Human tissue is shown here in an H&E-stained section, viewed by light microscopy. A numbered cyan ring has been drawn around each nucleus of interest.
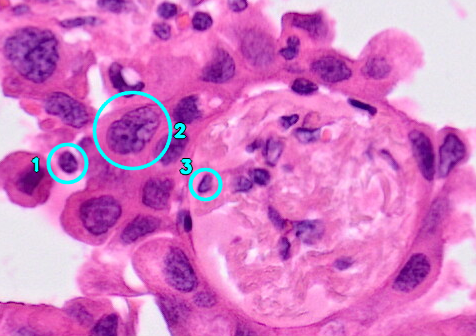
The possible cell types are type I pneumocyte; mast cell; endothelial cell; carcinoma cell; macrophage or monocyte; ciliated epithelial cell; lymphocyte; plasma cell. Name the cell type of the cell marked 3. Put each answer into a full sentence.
The one numbered 3 among the marked cells is a lymphocyte.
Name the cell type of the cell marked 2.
The numbered cell 2 in this field is a carcinoma cell.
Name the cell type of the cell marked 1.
Heads up, the cell numbered 1 is a lymphocyte.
